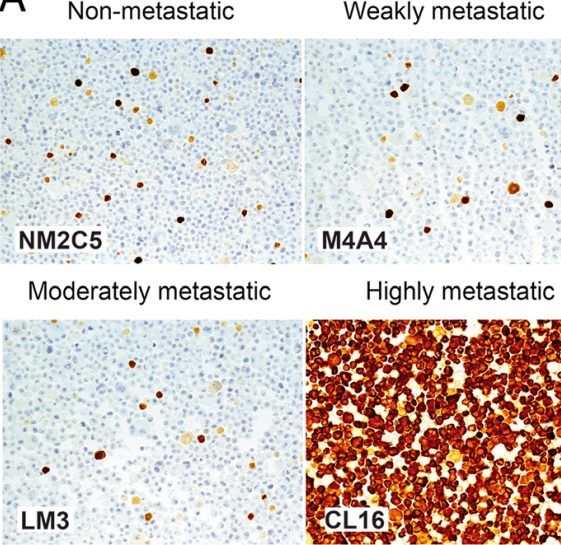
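In three of the fields only scattered single cells are stained brown, some dark and some paler, among a majority of unstained cells. In the fourth field nearly every cell is stained an intense brown that fills the cytoplasm, so the sheet looks almost uniformly dark. Small clear gaps lie between the cells in that field.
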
